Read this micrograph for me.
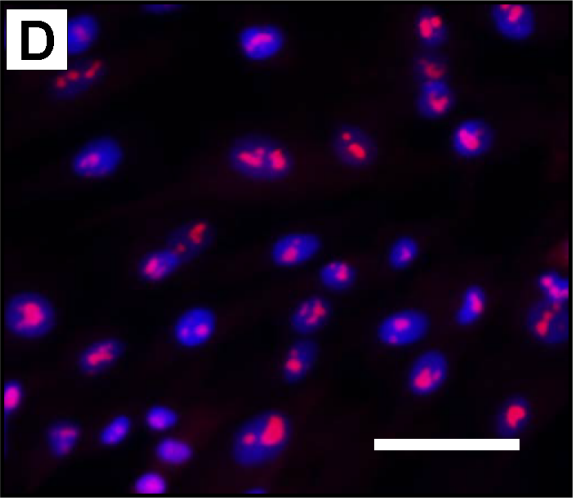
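Scattered cultured cells are seen by fluorescence, each marked by an oval blue nucleus against a dark background with faint reddish cytoplasm. Within nearly every nucleus lie one to several bright red spots or small clusters.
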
